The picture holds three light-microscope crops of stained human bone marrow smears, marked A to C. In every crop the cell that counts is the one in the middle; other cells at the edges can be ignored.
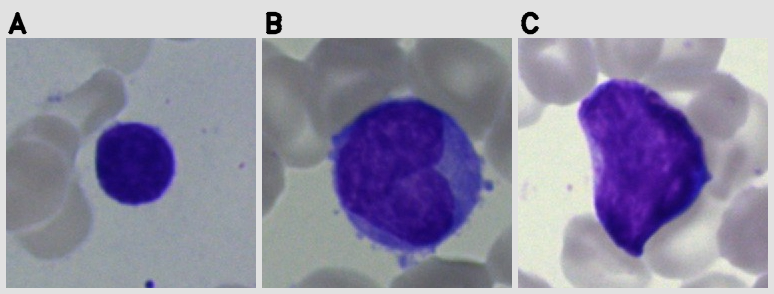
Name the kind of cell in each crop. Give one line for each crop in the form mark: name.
A: lymphocyte
B: monocyte
C: blast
